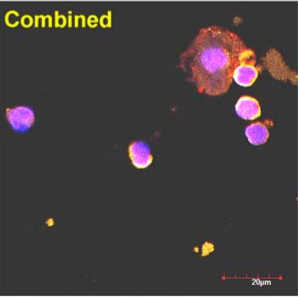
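Several cells in the middle and upper right carry a bright orange-yellow rim at their edge, whereas the lone cell on the left shows mostly its blue-violet nucleus with little rim. A large, faint orange, irregular mass lies at the upper right, and a few tiny bright specks are scattered below.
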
